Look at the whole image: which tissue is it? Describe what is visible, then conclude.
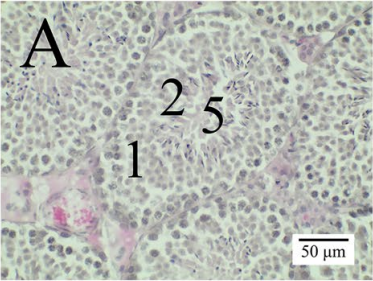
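Round tubules lie packed closely side by side. Each tubule has a thick many-layered epithelium of round nuclei around a central space. Elongated dark sperm heads line the inner part of the epithelium. That points to this answer: seminiferous tubules.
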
